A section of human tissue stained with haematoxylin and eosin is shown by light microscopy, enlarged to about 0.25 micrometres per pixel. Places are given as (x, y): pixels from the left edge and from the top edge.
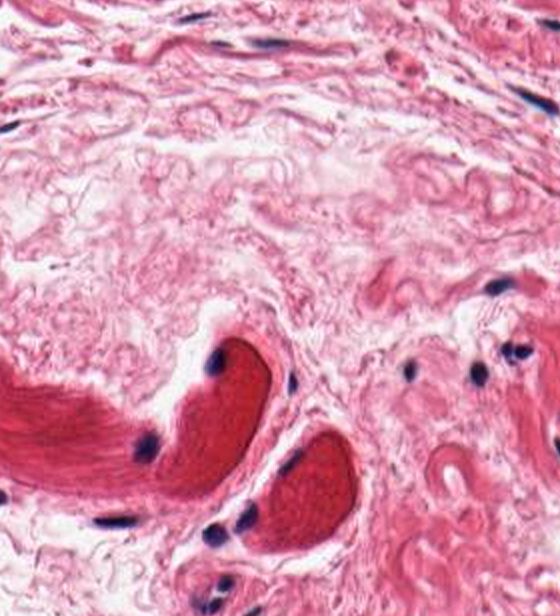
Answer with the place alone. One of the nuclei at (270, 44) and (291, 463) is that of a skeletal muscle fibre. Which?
(291, 463)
